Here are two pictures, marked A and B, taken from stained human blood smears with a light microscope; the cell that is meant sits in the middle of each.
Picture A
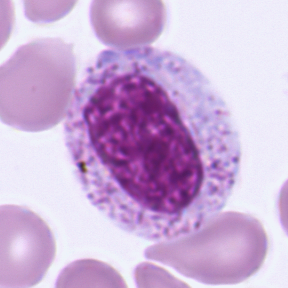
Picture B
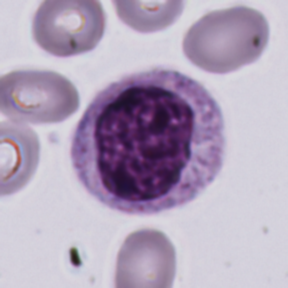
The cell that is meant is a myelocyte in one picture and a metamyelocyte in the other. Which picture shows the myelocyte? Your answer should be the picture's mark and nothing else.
A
